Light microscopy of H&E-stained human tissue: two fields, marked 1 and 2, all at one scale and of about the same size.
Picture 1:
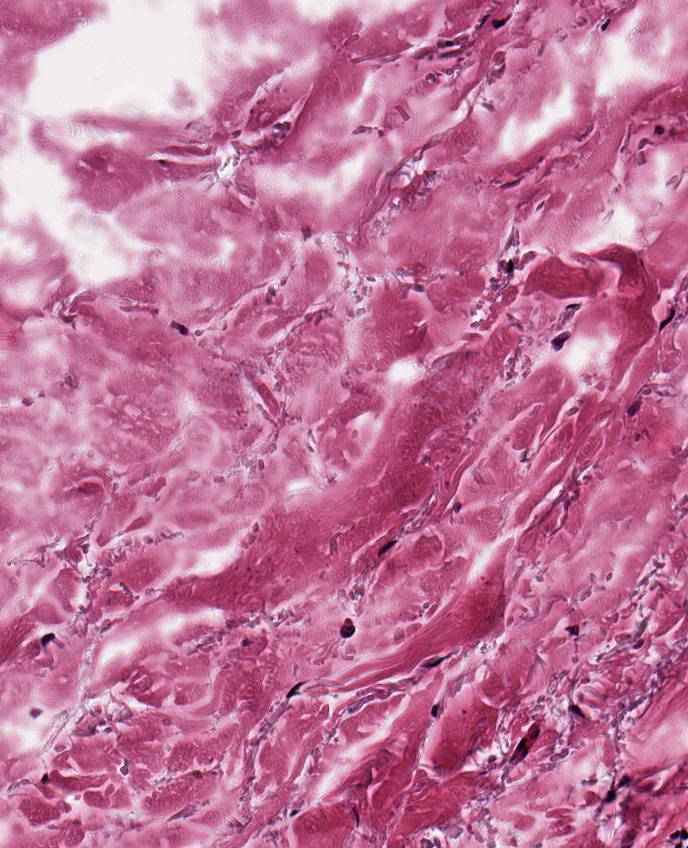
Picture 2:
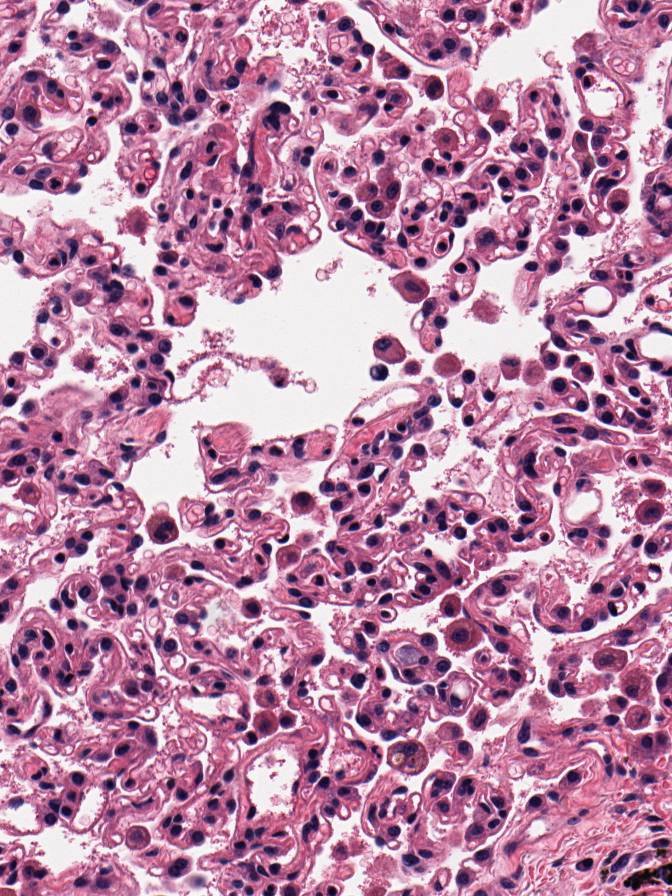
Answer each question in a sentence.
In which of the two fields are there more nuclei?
There are more nuclei in picture 2.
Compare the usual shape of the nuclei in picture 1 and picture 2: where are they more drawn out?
Longer, more slender nuclei lie in picture 1.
